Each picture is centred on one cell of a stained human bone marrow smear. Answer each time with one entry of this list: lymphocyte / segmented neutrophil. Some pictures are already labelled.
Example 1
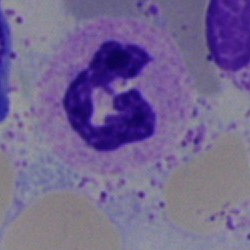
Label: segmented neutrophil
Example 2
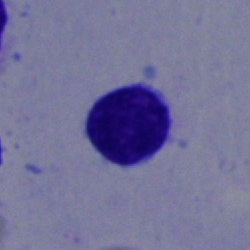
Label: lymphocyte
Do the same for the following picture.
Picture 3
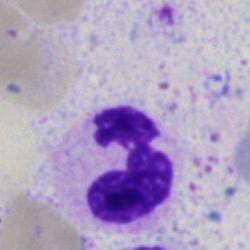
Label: segmented neutrophil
